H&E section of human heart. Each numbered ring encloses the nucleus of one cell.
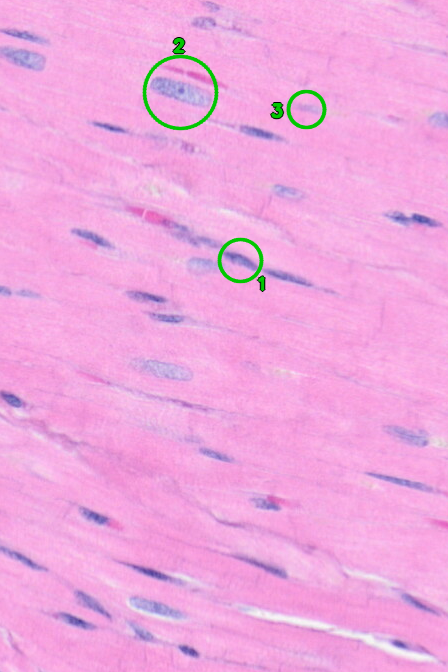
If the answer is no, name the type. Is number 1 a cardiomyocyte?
No, it is a fibroblast.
